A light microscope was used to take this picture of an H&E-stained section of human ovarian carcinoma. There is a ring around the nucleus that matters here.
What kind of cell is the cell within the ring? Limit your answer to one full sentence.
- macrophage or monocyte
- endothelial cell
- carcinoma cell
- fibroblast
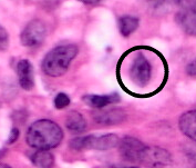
The classification of the cell within the ring is as a macrophage or monocyte.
